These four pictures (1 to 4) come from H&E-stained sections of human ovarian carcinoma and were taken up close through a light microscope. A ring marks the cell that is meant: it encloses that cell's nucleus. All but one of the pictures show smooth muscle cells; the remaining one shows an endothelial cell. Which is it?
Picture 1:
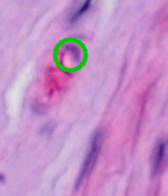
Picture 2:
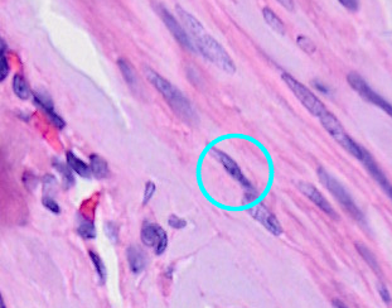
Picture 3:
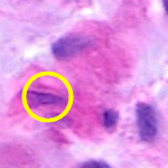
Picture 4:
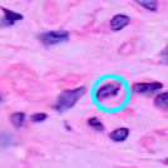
1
